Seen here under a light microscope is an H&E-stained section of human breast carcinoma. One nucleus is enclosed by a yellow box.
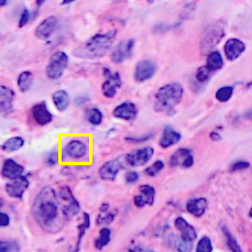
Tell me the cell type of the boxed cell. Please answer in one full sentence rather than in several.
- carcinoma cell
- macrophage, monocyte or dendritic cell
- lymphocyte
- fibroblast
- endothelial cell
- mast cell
As a matter of cell type, the boxed cell is a macrophage, monocyte or dendritic cell.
